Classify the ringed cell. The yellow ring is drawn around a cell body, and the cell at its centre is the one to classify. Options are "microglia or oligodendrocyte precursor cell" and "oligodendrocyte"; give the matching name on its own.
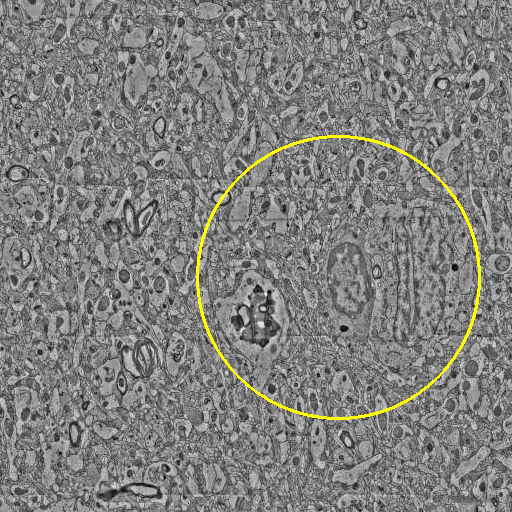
oligodendrocyte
